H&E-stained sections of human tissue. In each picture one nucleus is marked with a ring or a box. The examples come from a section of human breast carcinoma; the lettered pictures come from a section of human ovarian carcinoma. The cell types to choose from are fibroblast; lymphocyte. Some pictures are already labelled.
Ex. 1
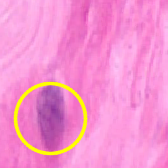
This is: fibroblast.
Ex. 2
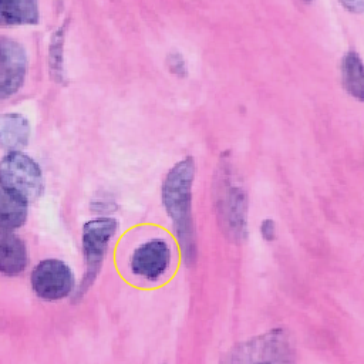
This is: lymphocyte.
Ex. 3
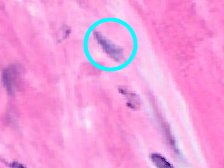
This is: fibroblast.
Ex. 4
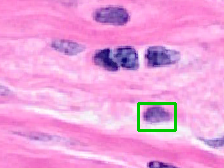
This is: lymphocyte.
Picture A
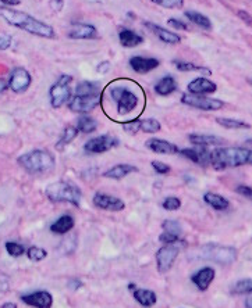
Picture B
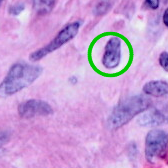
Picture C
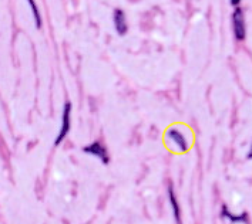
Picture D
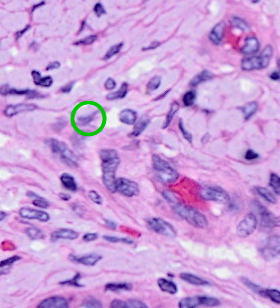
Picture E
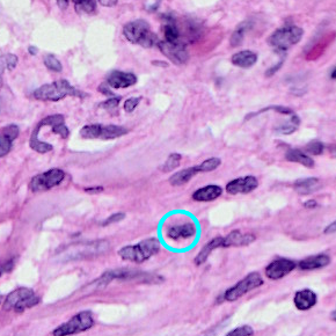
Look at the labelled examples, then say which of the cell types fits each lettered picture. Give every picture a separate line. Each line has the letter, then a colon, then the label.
A: lymphocyte.
B: lymphocyte.
C: fibroblast.
D: fibroblast.
E: lymphocyte.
